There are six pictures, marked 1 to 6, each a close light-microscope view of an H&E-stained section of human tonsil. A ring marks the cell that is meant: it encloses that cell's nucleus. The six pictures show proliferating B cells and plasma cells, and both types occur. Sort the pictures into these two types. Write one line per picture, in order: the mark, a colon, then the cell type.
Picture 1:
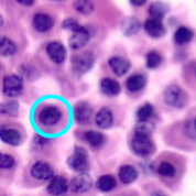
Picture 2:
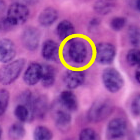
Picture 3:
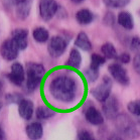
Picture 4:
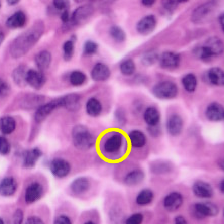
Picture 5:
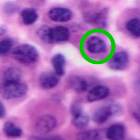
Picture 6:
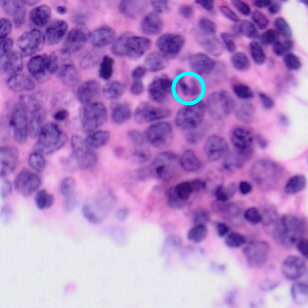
1: plasma cell
2: plasma cell
3: proliferating B cell
4: plasma cell
5: plasma cell
6: proliferating B cell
